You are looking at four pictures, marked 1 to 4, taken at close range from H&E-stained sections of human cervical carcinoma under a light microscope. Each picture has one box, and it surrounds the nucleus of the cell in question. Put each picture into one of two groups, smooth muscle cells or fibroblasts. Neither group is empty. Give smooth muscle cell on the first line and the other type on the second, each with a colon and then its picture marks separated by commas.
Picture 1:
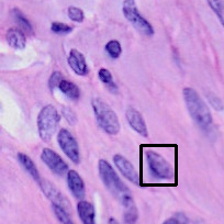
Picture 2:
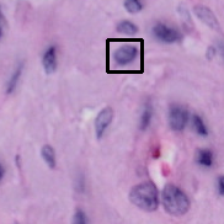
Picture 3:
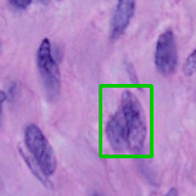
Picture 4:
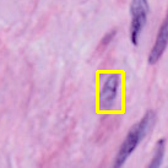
smooth muscle cell: 4
fibroblast: 1, 2, 3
